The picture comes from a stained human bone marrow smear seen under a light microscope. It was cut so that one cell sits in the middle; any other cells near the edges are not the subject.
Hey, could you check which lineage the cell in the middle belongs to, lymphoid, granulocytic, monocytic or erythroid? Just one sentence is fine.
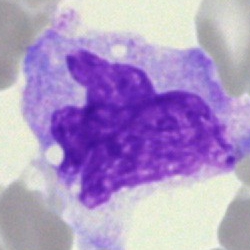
The centered cell is a member of the monocytic lineage.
